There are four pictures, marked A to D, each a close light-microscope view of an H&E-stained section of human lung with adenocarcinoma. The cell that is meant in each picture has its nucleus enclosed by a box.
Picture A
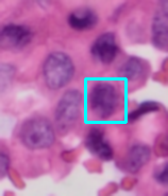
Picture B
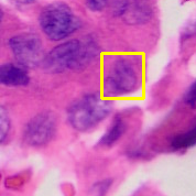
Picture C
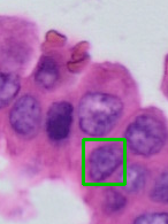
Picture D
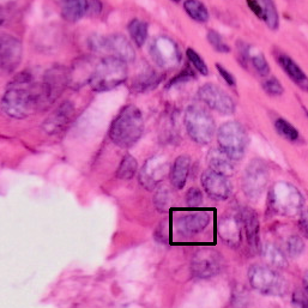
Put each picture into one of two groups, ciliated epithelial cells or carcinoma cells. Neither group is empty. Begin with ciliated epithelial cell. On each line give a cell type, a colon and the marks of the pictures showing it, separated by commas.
ciliated epithelial cell: D
carcinoma cell: A, B, C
